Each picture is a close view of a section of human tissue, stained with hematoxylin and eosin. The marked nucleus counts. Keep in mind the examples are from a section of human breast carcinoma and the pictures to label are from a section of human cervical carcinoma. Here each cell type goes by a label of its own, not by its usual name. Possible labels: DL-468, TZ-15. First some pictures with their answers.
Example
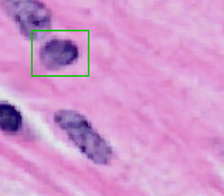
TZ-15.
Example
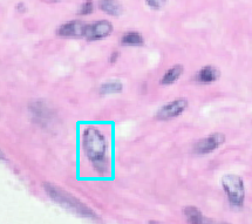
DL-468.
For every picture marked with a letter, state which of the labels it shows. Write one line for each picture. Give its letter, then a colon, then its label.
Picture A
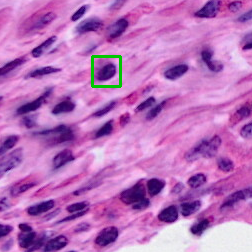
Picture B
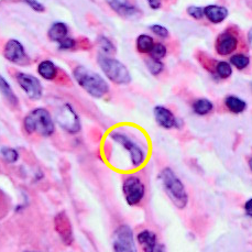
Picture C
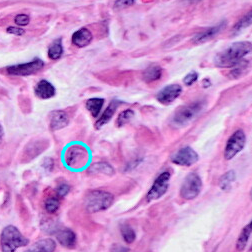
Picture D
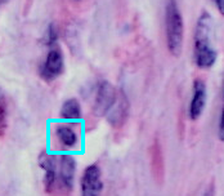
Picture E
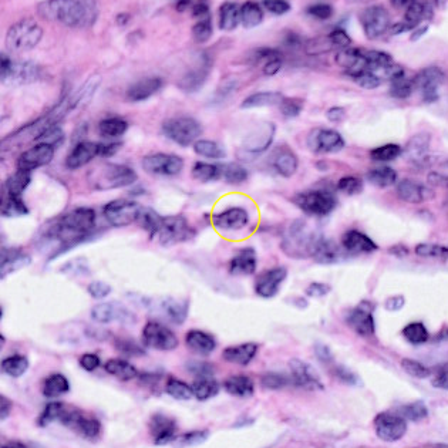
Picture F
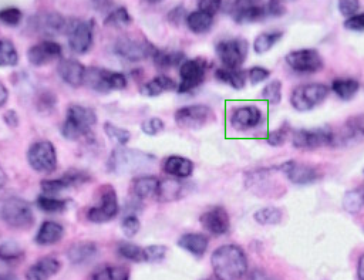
A: TZ-15.
B: DL-468.
C: DL-468.
D: TZ-15.
E: TZ-15.
F: TZ-15.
